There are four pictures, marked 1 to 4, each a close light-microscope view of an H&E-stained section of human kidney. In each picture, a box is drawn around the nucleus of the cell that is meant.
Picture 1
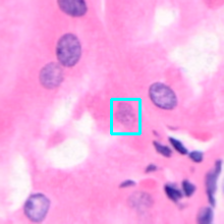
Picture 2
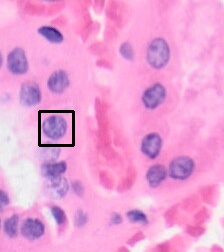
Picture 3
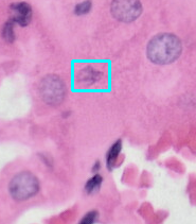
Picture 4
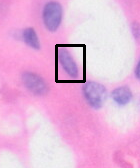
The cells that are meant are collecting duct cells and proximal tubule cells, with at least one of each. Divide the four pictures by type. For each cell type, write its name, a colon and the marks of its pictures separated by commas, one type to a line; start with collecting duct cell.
collecting duct cell: 2, 4
proximal tubule cell: 1, 3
